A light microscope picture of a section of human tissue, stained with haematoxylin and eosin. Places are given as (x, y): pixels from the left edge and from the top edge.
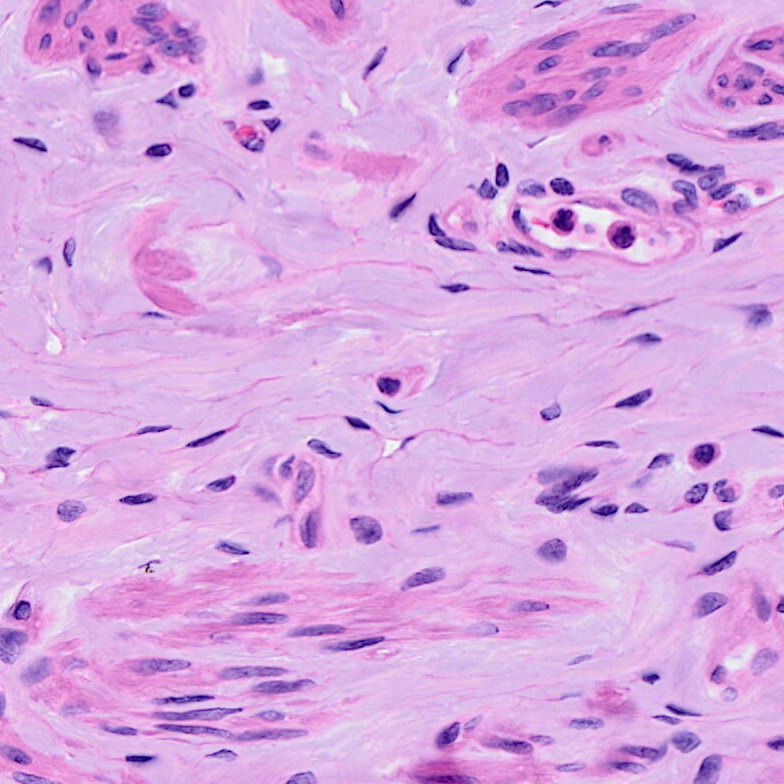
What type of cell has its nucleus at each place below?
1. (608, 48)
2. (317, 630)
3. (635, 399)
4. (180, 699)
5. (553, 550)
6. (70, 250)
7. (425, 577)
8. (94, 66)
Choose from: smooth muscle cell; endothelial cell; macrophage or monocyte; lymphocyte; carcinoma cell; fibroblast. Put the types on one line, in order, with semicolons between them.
smooth muscle cell; smooth muscle cell; fibroblast; smooth muscle cell; fibroblast; fibroblast; smooth muscle cell; smooth muscle cell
